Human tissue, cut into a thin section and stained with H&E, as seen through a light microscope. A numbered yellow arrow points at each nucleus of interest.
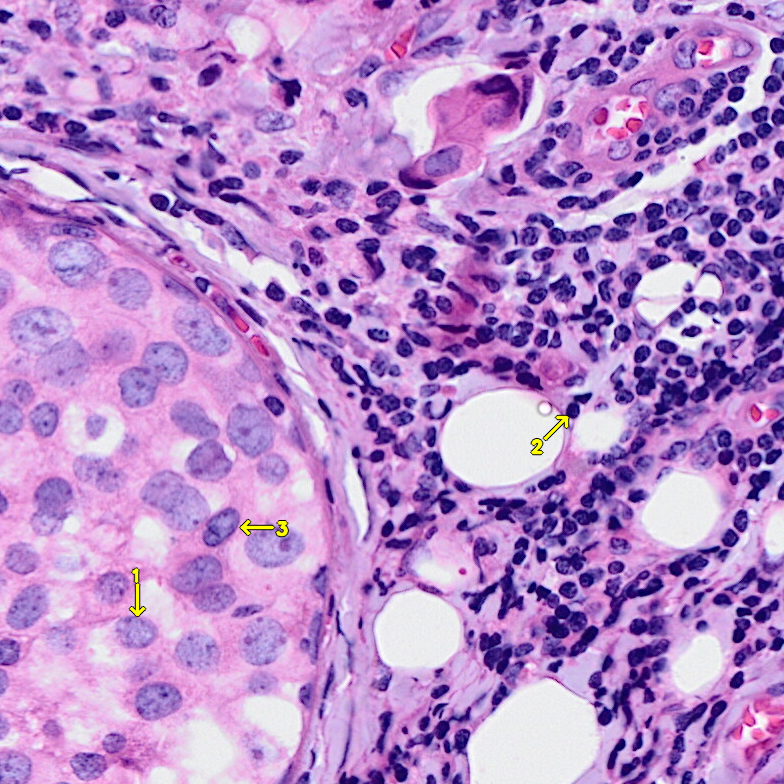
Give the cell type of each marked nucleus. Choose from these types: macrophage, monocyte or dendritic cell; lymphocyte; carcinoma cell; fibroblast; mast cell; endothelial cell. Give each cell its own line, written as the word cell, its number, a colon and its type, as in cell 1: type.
cell 1: carcinoma cell
cell 2: lymphocyte
cell 3: carcinoma cell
